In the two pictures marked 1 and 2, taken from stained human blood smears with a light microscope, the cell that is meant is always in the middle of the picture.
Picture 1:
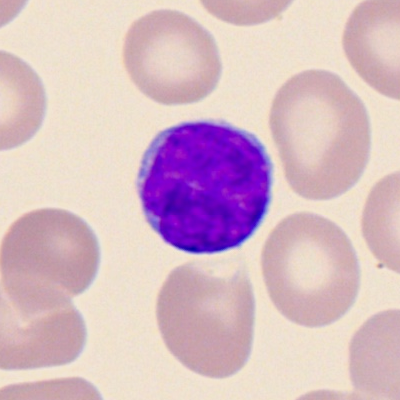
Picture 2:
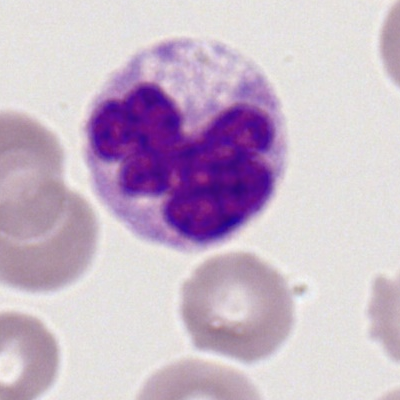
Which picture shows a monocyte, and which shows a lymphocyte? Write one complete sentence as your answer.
The cell in picture 1 is a lymphocyte, and the one in picture 2 is a monocyte.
